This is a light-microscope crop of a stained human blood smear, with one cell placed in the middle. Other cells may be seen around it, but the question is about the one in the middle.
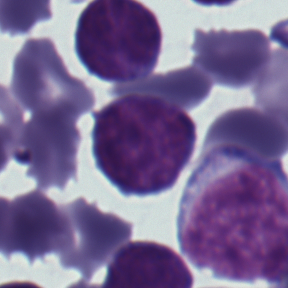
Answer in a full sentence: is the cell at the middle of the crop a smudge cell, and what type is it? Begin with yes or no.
No, the cell in the middle is not a smudge cell but a myeloblast.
